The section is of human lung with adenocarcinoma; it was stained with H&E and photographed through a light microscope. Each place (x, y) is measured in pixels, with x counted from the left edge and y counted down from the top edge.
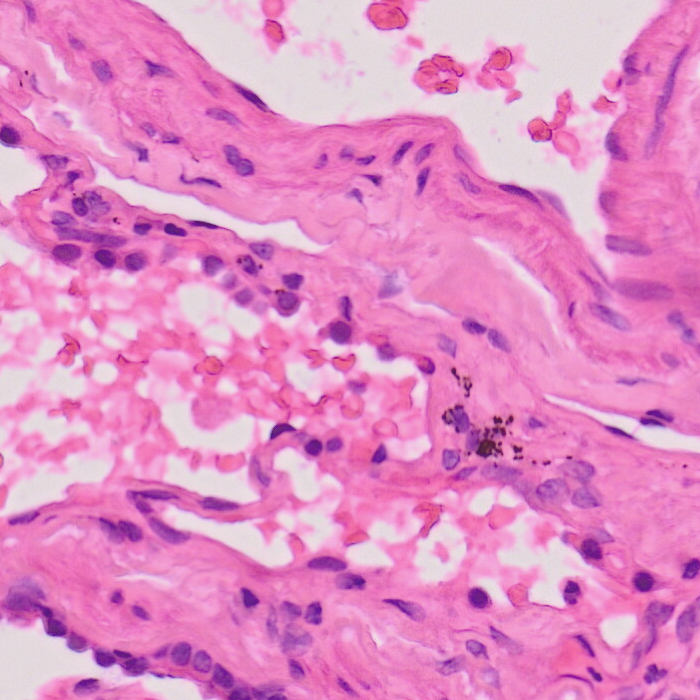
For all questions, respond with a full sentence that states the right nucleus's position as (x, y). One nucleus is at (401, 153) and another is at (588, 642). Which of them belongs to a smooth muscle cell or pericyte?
That would be the nucleus at (401, 153); it belongs to a smooth muscle cell or pericyte.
